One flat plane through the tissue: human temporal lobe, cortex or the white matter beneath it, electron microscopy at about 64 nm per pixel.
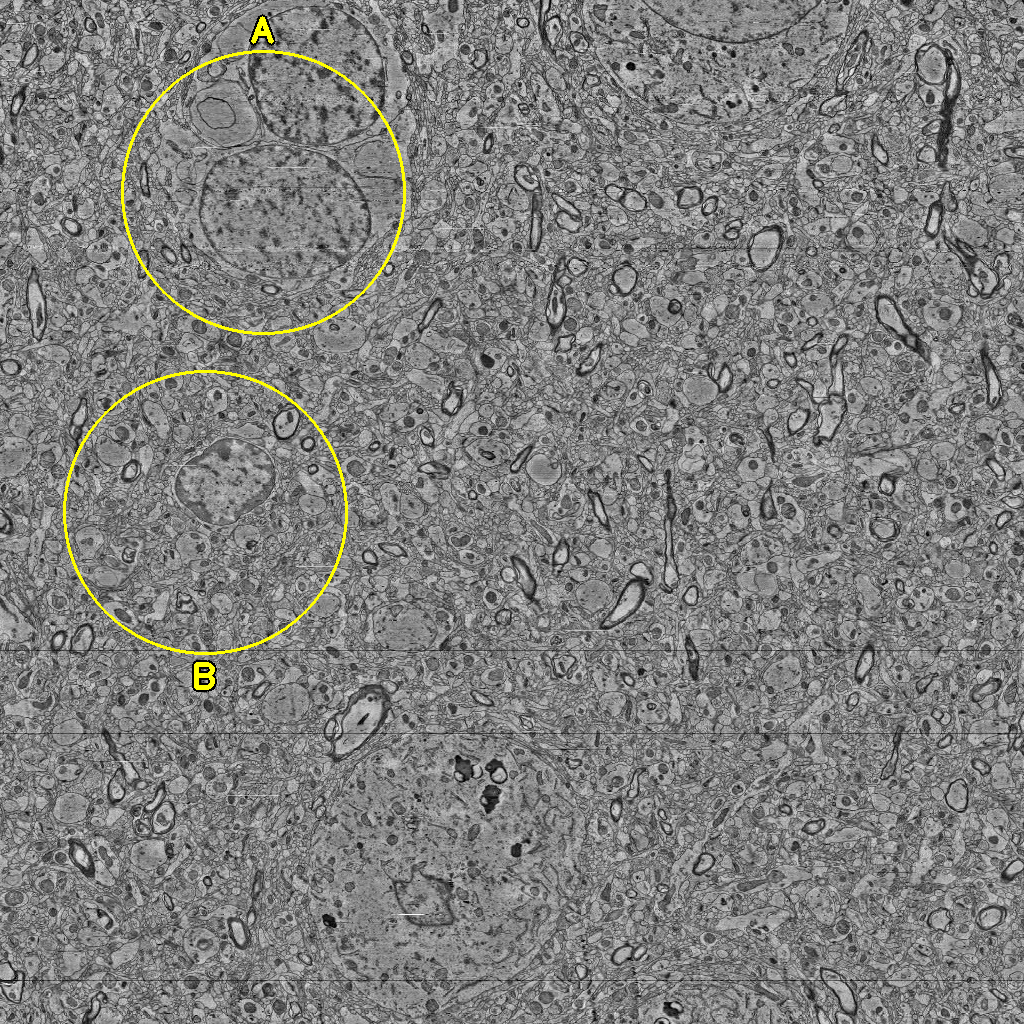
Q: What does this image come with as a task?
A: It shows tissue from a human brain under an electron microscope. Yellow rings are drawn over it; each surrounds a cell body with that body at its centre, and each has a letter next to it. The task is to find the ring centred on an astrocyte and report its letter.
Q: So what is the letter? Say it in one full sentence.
It is A, the letter of the ring centred on the cell asked for in the picture.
